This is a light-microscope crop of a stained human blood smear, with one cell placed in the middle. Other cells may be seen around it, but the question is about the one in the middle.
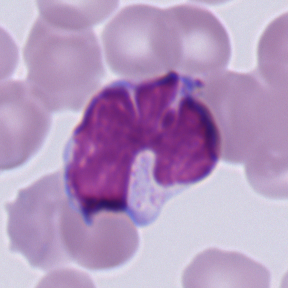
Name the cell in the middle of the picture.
large granular lymphocyte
